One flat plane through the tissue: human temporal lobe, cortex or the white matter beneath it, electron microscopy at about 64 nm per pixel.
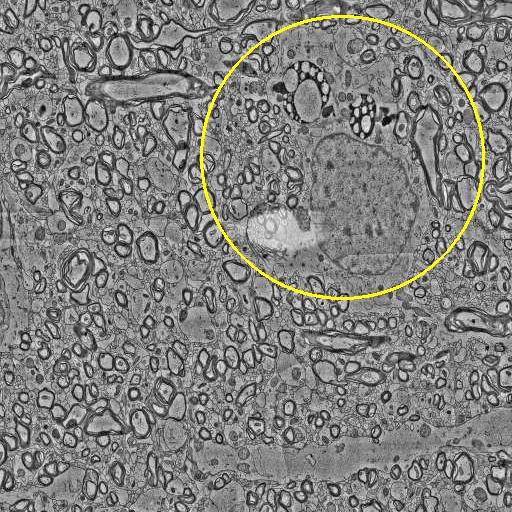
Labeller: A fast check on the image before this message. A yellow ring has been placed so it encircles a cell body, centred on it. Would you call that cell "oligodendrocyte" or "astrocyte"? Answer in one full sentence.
In this image, an astrocyte is the cell on which the yellow ring is centred.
